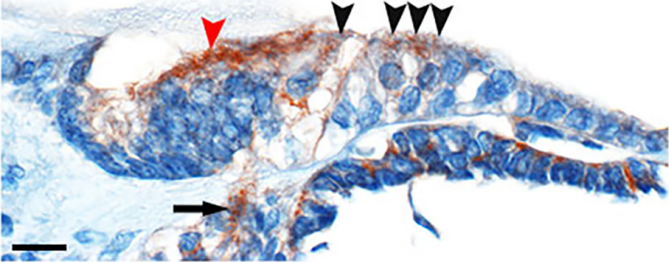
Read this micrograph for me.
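The developing organ of Corti and the adjoining Kolliker’s organ form a sensory epithelium on a thin basal membrane. Medially, Kolliker’s organ is a tall, crowded columnar epithelium with densely packed blue oval nuclei and brown staining along its upper surface. Laterally, one inner hair cell and a row of three outer hair cells sit at the surface as rounded cells outlined in brown. Beneath the epithelium, thin brown-stained fibrous processes of cochlear neurons run upward toward the hair cells. A flat layer of cells lines the underside of the membrane, with some brown staining along it.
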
